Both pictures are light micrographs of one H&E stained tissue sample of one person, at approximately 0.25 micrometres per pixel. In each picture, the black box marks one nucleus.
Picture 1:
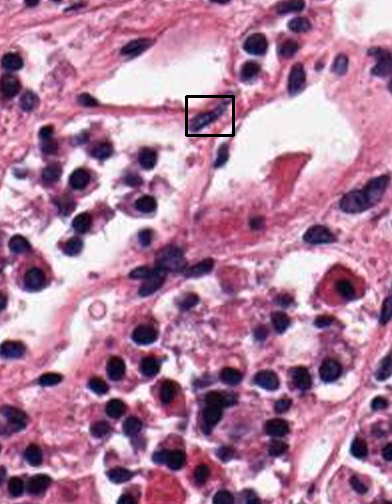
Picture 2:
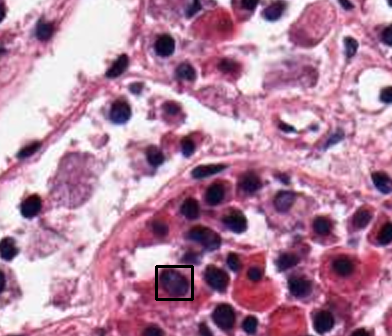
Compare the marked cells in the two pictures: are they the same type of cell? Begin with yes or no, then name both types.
No, the first is an endothelial cell and the second an anterior pituitary cell.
